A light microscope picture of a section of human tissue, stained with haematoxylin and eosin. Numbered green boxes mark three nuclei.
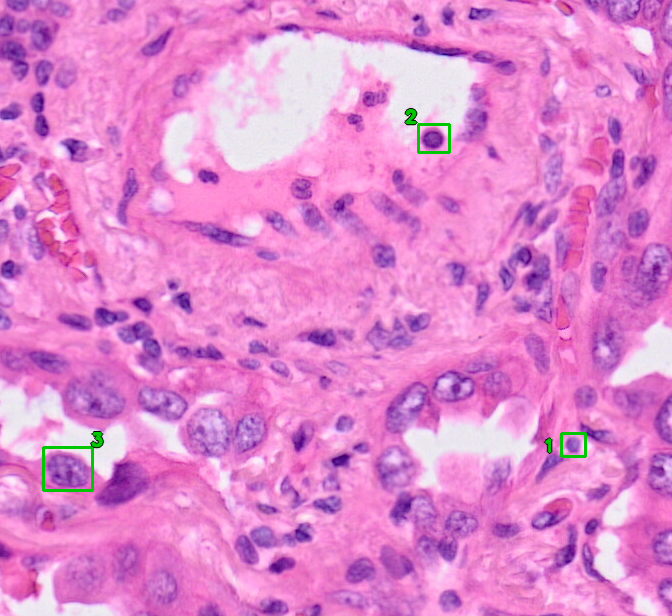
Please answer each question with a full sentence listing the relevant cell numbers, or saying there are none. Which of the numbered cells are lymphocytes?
The cells with the numbers 1 and 2 are lymphocytes.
